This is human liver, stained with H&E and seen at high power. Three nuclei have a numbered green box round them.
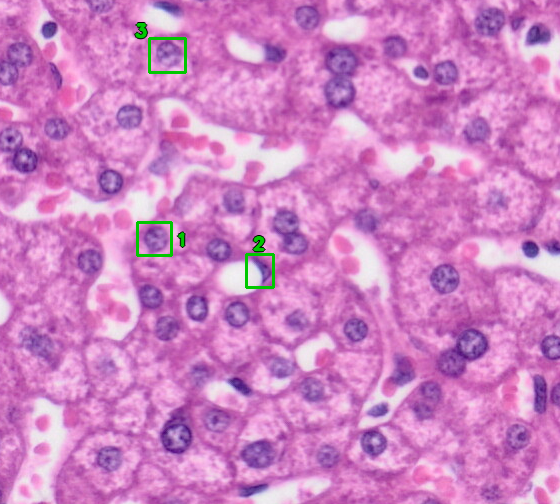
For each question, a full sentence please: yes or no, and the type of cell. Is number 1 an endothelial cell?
No, cell 1 is not an endothelial cell: it is a hepatocyte.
